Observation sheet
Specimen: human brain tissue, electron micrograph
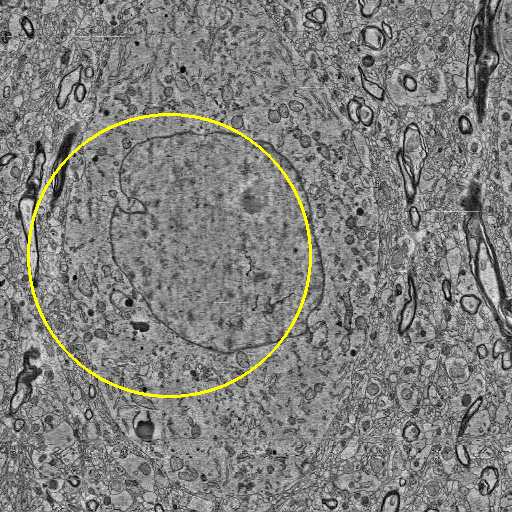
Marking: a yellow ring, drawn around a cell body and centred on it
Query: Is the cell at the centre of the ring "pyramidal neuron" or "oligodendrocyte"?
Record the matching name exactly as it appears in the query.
pyramidal neuron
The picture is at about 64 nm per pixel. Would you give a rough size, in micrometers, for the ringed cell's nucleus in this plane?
The nucleus works out at approximately 15 by 13 micrometres in this plane.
